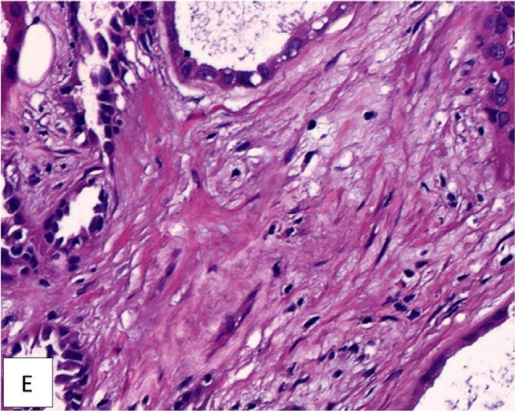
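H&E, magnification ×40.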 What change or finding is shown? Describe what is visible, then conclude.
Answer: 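The centre is occupied by pale pink fibrous stroma. Stromal nuclei are sparse, thin and spindle-shaped. Tubules and cyst lining border the stroma at the edges. The answer: fibrotic and hypocellular.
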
